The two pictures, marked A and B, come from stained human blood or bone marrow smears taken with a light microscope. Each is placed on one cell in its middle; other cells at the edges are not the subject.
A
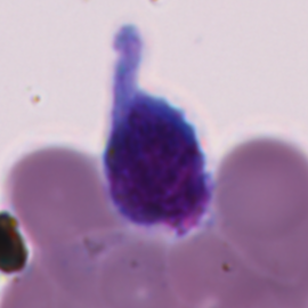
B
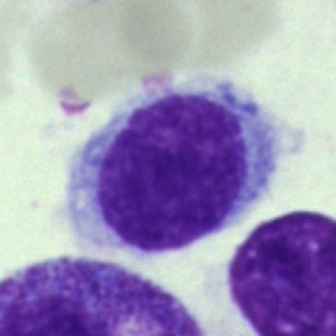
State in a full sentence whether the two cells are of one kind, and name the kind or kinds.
No, in crop A the cell is a plasma cell, and in crop B it is a hairy cell.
